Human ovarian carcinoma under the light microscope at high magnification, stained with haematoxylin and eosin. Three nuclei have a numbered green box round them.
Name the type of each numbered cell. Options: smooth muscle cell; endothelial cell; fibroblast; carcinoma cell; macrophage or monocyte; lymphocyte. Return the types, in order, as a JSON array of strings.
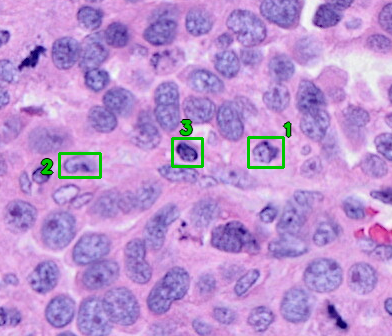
["macrophage or monocyte", "fibroblast", "lymphocyte"]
